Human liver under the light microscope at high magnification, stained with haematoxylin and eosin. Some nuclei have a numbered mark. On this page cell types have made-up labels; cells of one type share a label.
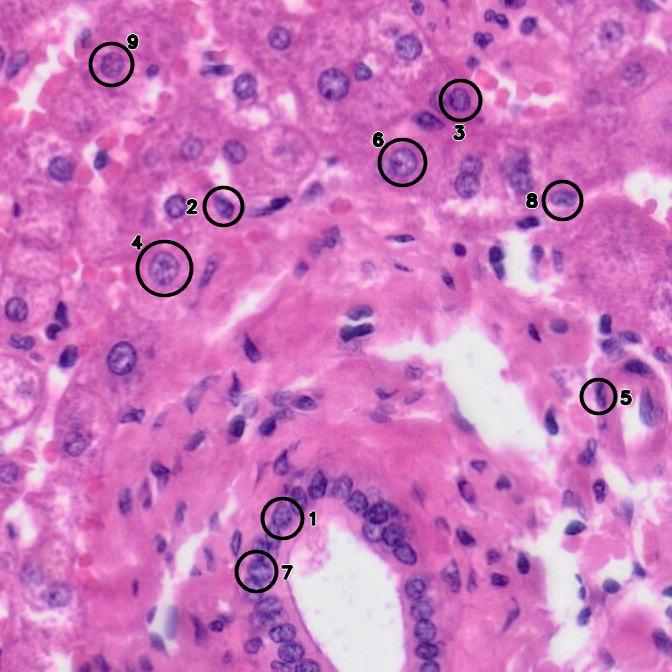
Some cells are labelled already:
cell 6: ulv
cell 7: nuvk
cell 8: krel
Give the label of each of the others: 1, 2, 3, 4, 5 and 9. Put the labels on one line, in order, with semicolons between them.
nuvk; krel; ulv; ulv; krel; ulv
